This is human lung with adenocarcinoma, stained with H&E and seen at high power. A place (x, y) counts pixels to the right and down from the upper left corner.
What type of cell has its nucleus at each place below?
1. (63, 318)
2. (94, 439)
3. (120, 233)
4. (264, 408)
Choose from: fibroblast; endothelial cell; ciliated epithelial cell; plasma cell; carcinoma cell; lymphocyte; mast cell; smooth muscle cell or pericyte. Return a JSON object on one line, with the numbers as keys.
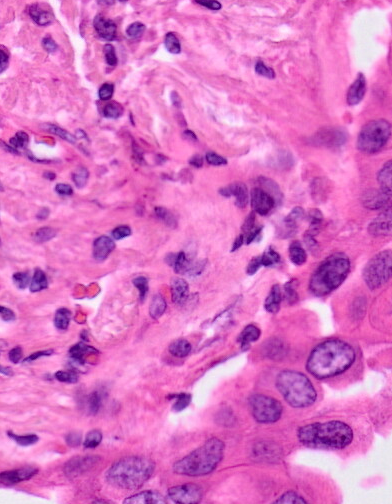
{"1": "lymphocyte", "2": "lymphocyte", "3": "lymphocyte", "4": "carcinoma cell"}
